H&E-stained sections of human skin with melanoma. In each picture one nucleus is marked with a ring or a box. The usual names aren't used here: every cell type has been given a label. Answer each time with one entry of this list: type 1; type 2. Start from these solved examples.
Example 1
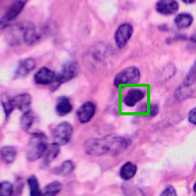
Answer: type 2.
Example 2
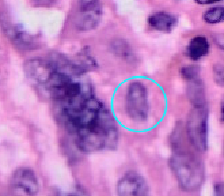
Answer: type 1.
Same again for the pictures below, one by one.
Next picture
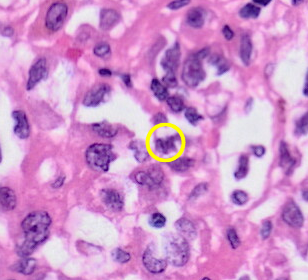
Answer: type 1.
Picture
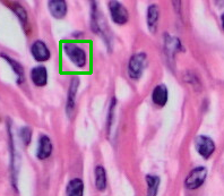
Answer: type 2.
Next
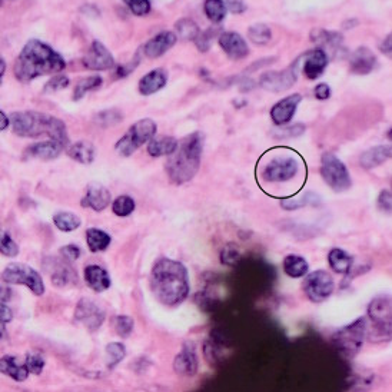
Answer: type 2.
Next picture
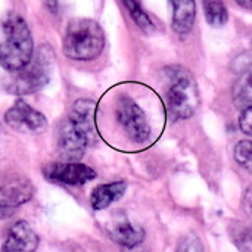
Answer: type 1.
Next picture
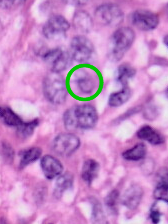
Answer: type 1.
